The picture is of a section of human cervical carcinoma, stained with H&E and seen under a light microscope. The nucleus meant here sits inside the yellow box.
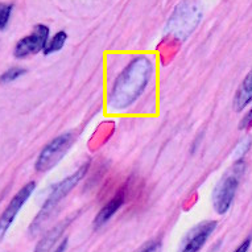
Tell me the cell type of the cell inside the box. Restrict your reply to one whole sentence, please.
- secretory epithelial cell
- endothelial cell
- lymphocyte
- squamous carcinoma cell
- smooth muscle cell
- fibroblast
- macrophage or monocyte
In this field of tissue, the cell inside the box is an endothelial cell.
